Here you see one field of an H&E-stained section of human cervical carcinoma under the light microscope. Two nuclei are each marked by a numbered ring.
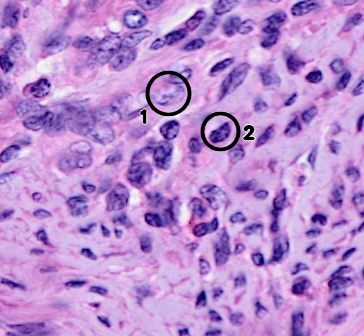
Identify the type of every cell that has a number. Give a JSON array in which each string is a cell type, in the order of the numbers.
["endothelial cell", "lymphocyte"]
